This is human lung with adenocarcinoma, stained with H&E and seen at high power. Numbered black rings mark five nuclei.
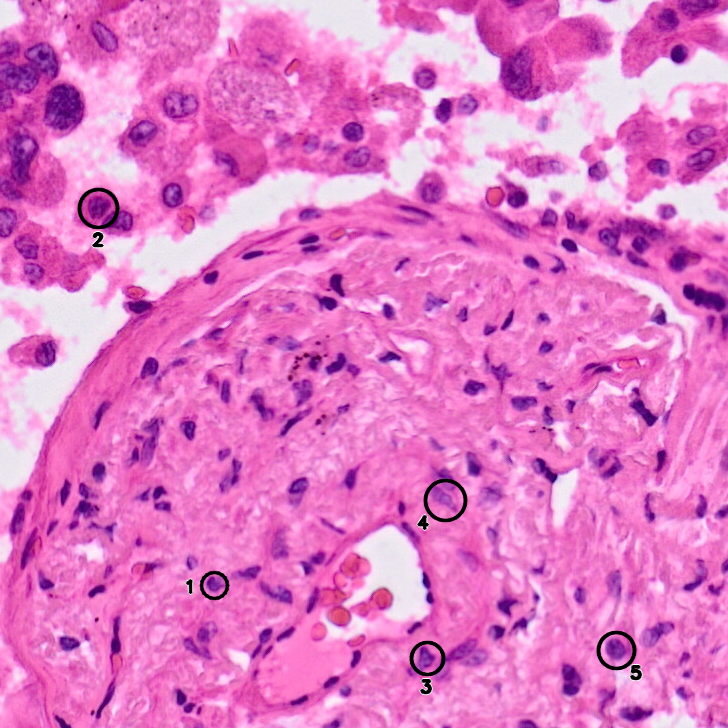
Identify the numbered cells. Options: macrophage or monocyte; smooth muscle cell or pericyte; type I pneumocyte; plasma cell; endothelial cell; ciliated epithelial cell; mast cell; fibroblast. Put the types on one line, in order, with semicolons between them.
smooth muscle cell or pericyte; macrophage or monocyte; smooth muscle cell or pericyte; smooth muscle cell or pericyte; plasma cell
